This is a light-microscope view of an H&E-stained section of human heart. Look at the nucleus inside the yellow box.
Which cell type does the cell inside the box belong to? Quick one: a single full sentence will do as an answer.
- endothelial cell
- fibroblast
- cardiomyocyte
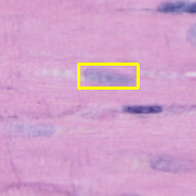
The category to which the cell inside the box belongs is that of a cardiomyocyte.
